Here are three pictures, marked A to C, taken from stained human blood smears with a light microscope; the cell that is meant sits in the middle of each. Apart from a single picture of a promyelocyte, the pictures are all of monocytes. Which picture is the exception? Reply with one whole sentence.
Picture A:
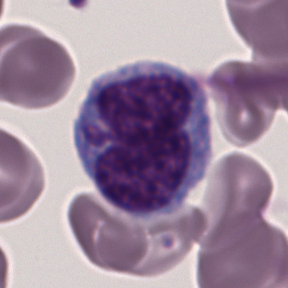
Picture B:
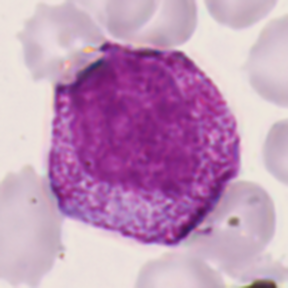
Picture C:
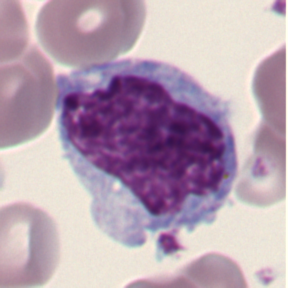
Picture B shows the promyelocyte.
